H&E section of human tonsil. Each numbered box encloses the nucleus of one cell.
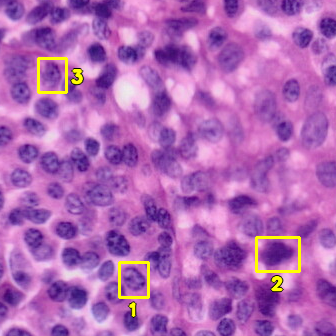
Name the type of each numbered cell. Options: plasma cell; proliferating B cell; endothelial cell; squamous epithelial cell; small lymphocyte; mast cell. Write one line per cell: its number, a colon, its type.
1: plasma cell
2: squamous epithelial cell
3: plasma cell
